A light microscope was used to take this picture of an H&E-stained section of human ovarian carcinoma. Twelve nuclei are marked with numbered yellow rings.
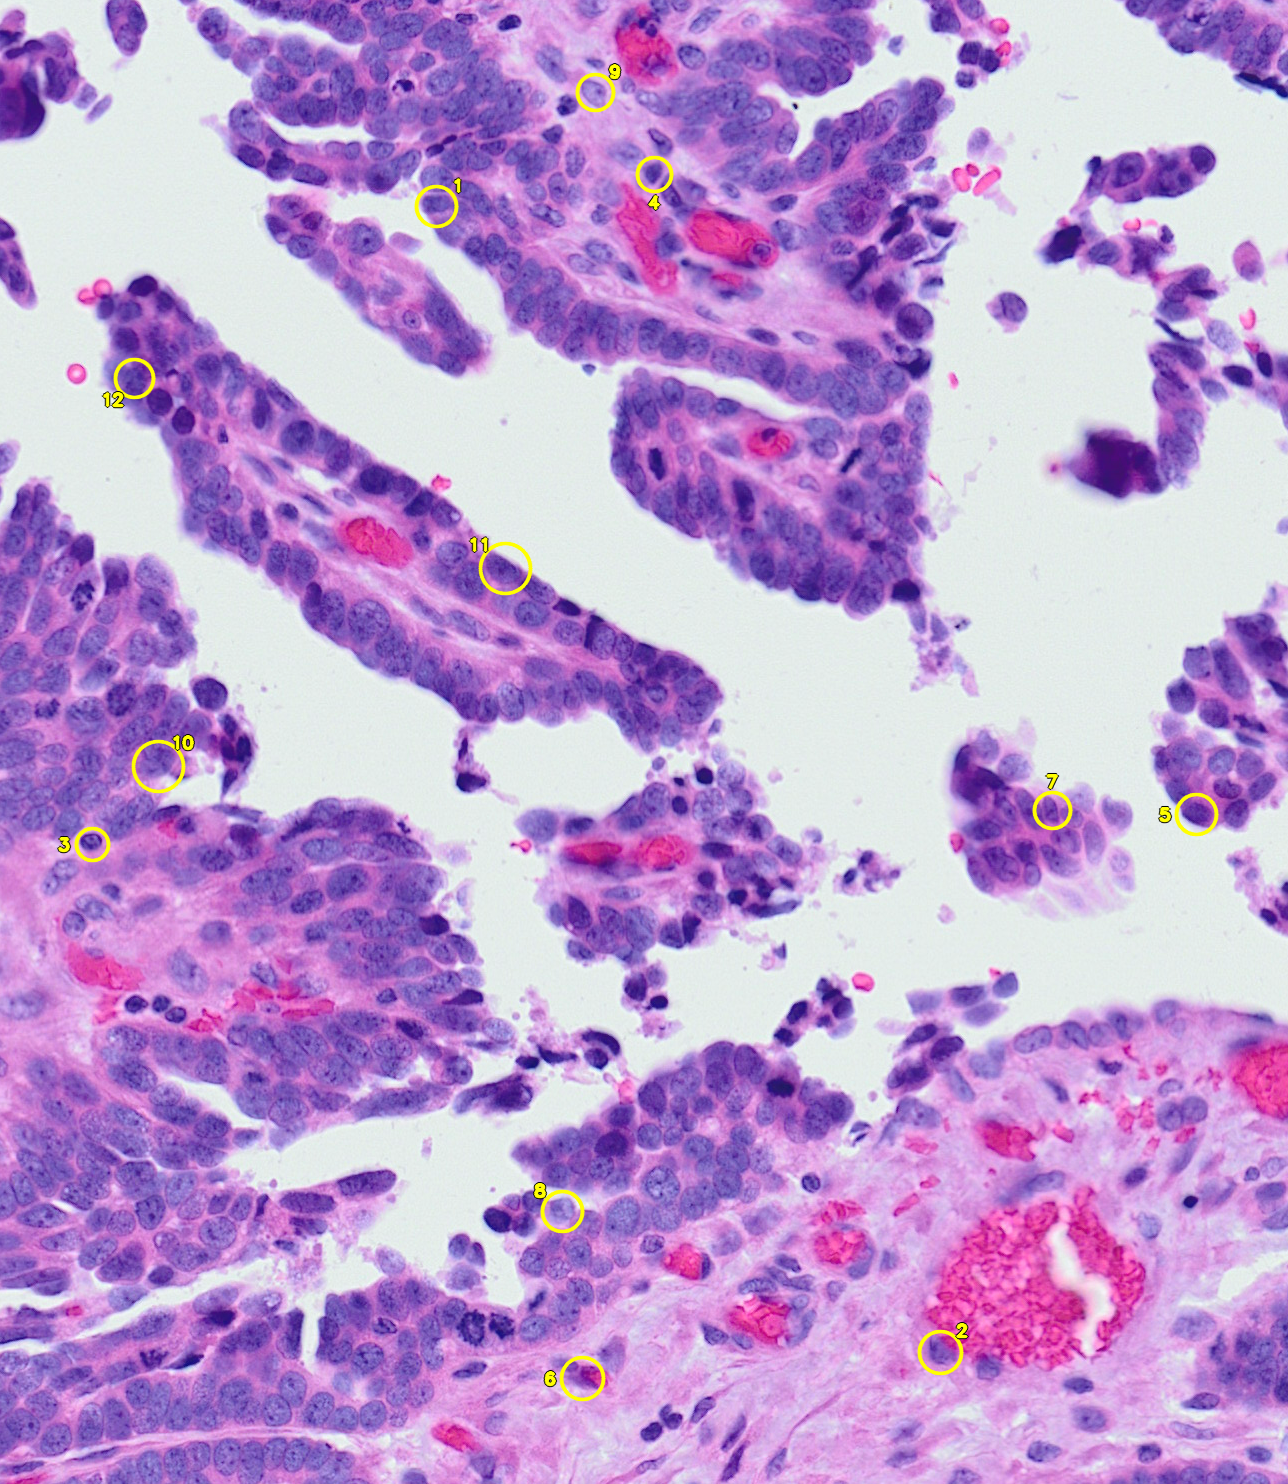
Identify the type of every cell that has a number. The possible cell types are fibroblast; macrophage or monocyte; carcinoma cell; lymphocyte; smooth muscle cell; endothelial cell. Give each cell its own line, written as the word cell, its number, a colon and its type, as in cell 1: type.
cell 1: carcinoma cell
cell 2: endothelial cell
cell 3: lymphocyte
cell 4: lymphocyte
cell 5: carcinoma cell
cell 6: endothelial cell
cell 7: carcinoma cell
cell 8: carcinoma cell
cell 9: fibroblast
cell 10: carcinoma cell
cell 11: carcinoma cell
cell 12: carcinoma cell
